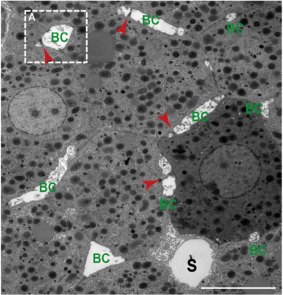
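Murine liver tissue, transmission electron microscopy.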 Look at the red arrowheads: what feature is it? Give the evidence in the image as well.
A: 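Red arrowheads point at narrow electron-dense crossings within canalicular lumens between cells.
Answer: Apical bulkheads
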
